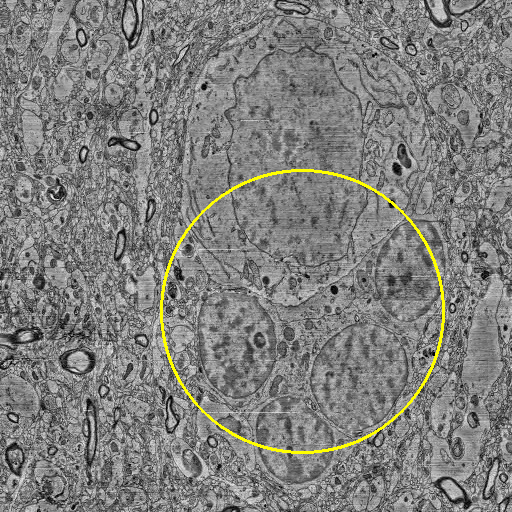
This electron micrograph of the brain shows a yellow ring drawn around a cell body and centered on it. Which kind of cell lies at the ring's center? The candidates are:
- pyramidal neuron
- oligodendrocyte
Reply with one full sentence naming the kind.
The cell lying at the ring's center in this micrograph is an oligodendrocyte.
